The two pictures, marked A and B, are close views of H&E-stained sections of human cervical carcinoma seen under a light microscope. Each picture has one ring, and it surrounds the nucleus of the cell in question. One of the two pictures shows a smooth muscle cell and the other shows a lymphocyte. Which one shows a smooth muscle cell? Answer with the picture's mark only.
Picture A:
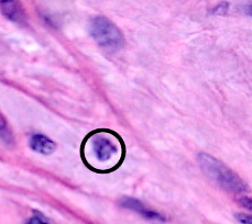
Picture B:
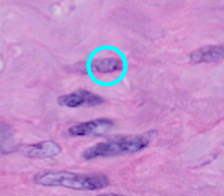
B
